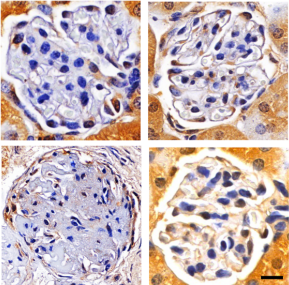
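The upper two glomeruli have open, thin-walled capillary loops with nuclei spread evenly through the tuft. The lower left glomerulus looks altered: the tuft is pale and smudged, with loops that are hard to make out, and elongated cells line the capsule around it. The lower right glomerulus keeps open capillary loops with scattered nuclei, resembling the upper ones more closely.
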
